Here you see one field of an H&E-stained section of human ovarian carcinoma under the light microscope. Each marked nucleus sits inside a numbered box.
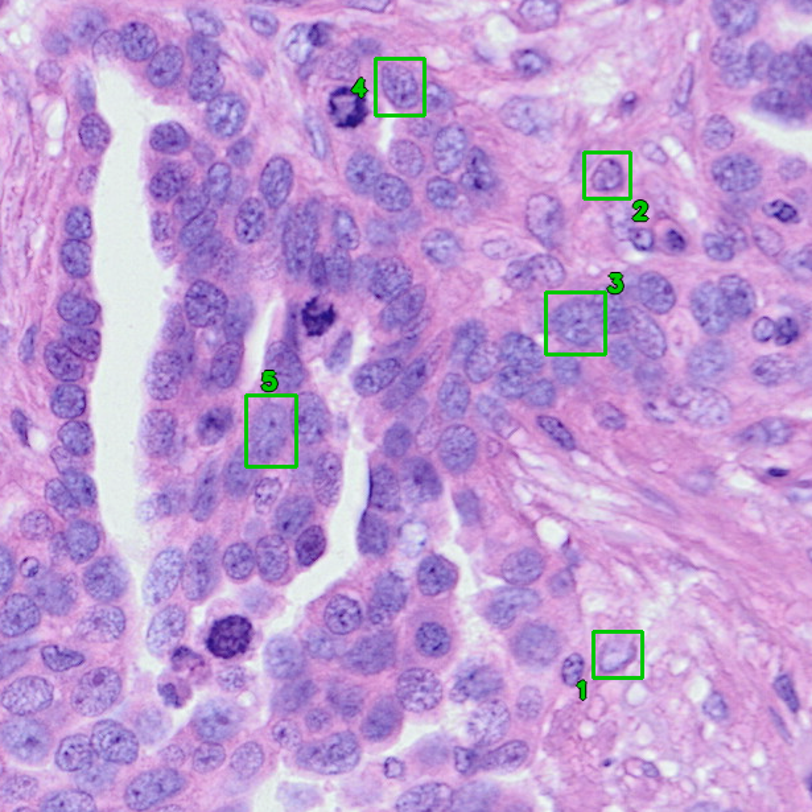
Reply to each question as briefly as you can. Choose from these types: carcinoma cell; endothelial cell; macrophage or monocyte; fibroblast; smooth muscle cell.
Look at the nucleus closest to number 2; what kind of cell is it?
fibroblast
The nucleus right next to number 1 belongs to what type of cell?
macrophage or monocyte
